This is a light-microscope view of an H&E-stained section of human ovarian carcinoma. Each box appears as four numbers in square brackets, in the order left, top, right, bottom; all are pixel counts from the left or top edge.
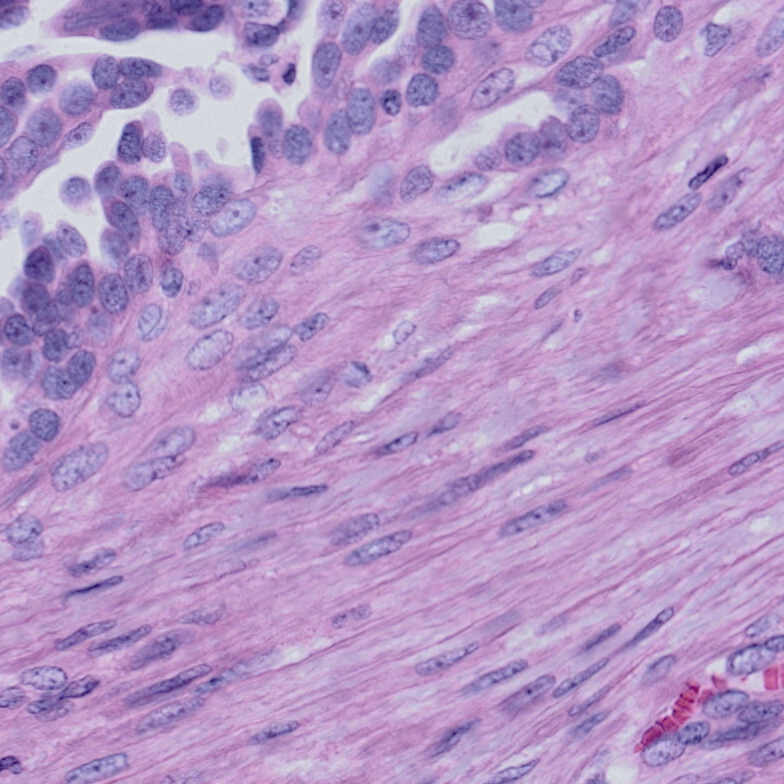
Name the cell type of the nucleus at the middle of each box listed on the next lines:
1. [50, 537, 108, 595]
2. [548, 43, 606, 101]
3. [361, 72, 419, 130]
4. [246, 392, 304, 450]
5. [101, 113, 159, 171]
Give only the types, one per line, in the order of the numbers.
fibroblast
carcinoma cell
macrophage or monocyte
fibroblast
carcinoma cell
